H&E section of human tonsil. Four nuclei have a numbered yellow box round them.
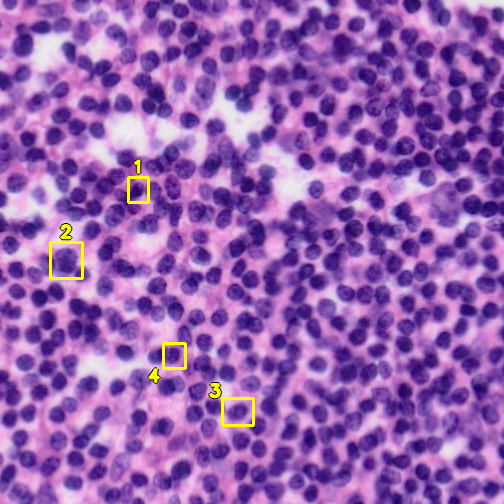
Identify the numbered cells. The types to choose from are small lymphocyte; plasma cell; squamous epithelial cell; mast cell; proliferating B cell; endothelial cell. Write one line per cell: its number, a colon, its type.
1: small lymphocyte
2: proliferating B cell
3: small lymphocyte
4: small lymphocyte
